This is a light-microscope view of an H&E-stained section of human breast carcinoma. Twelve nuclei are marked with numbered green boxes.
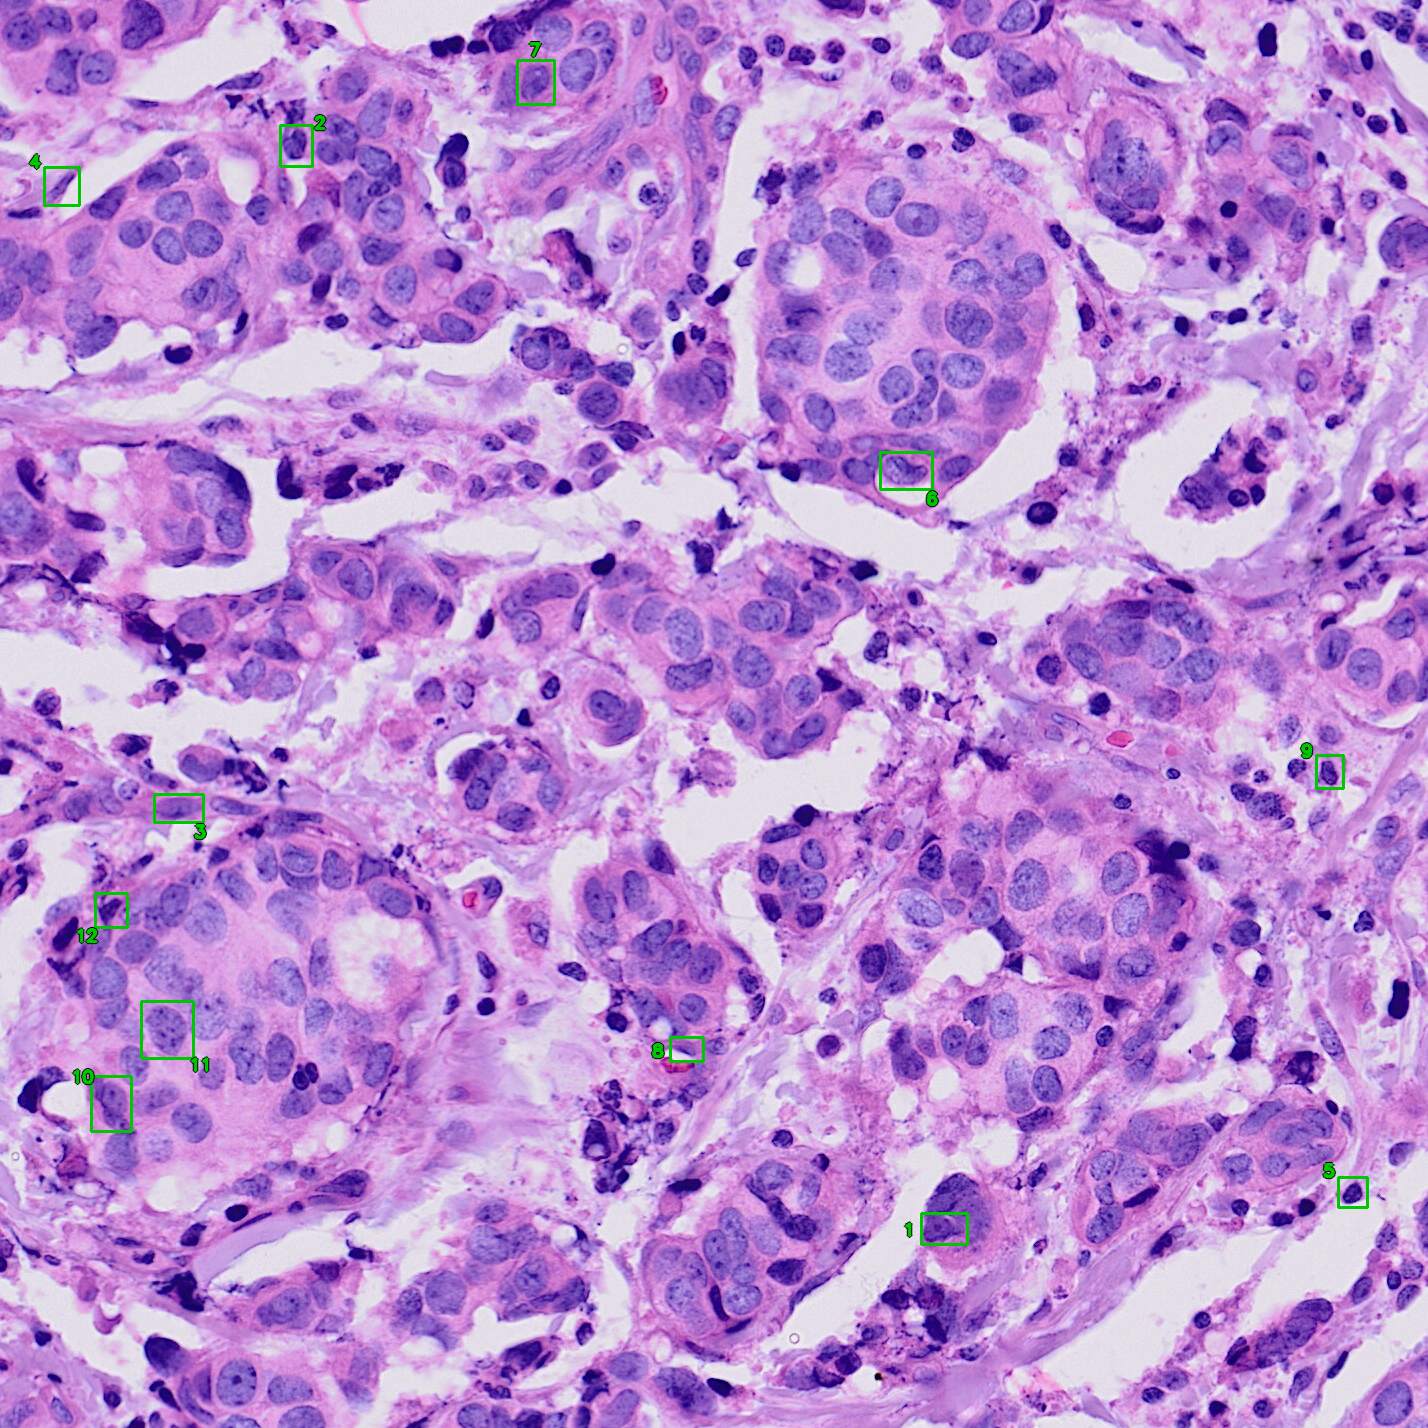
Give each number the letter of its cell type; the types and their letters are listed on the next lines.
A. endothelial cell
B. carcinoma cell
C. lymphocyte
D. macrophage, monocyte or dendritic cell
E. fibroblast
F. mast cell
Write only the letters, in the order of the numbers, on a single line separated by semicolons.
B; B; A; E; C; B; B; A; C; B; B; B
